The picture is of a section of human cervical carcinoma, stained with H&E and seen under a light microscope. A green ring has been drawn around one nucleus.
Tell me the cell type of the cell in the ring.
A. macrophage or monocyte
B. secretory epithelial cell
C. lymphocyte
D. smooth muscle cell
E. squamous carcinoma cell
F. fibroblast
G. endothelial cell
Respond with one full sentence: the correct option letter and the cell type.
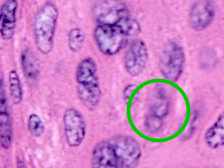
With the cell in the ring being a squamous carcinoma cell, option E is correct.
